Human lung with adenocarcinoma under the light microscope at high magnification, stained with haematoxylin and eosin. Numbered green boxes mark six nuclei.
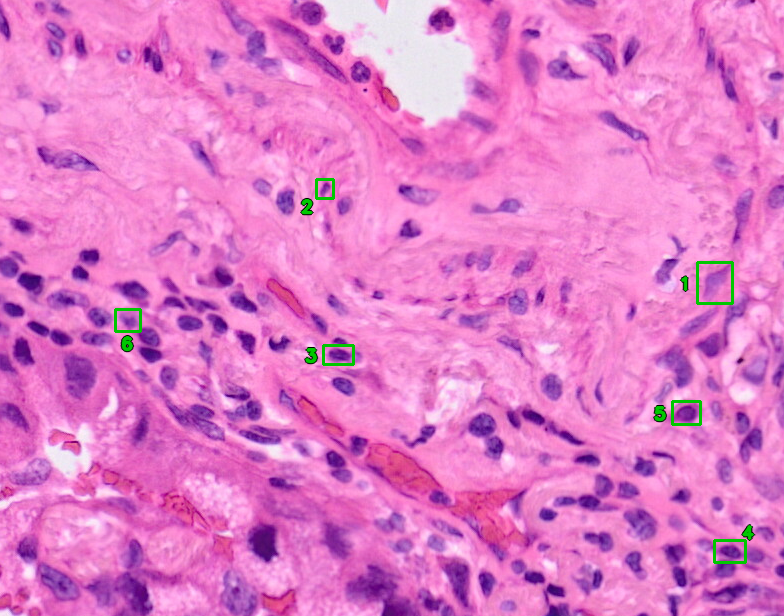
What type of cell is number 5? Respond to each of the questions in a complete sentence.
Nucleus 5 in this section belongs to a plasma cell.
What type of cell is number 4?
Cell 4, among those numbered, is a lymphocyte.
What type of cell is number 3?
The label 3 in this section denotes a lymphocyte.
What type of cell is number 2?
The one labeled 2 is a smooth muscle cell or pericyte, to put it simply.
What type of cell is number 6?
The cell bearing label 6 corresponds to a lymphocyte.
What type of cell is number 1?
The nucleus with number 1 is that of a smooth muscle cell or pericyte.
